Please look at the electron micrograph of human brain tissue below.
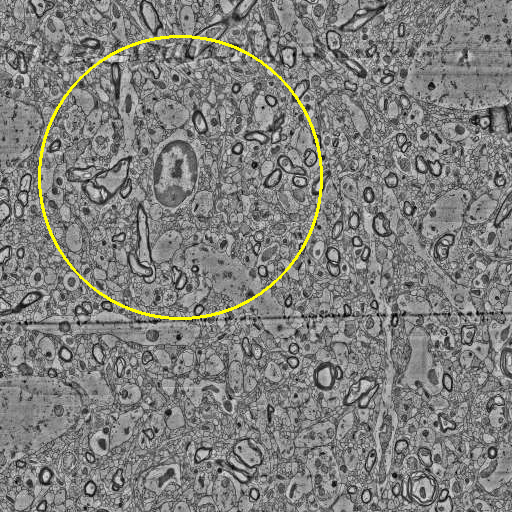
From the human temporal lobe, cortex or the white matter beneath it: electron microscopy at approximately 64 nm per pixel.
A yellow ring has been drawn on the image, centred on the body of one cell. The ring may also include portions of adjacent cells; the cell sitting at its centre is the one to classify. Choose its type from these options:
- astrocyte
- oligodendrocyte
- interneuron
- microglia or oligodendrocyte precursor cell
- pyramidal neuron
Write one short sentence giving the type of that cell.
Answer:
The cell in the middle of the ring is a microglial cell or oligodendrocyte precursor cell.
